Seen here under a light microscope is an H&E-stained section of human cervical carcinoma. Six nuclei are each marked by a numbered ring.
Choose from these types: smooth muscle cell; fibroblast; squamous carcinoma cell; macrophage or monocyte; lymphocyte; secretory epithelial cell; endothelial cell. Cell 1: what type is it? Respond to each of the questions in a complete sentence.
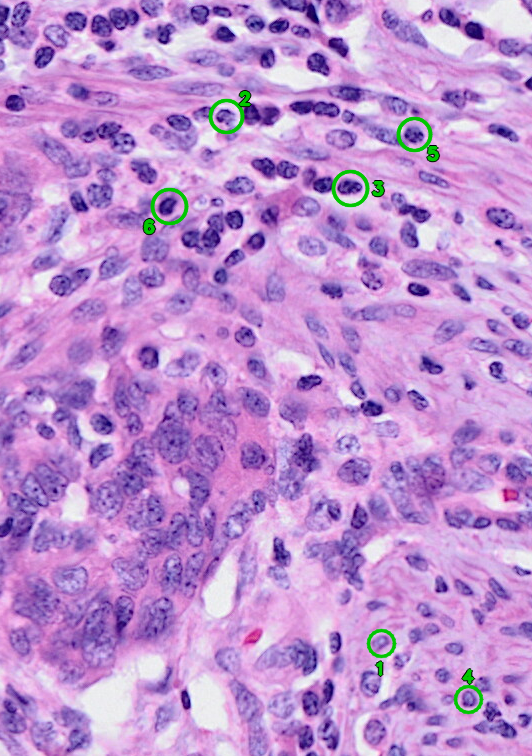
What the number 1 marks in this field is a smooth muscle cell.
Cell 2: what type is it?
The cell that is numbered 2 is a lymphocyte.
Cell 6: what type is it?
The cell bearing label 6 corresponds to a lymphocyte.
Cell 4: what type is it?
The marked nucleus 4 is that of a smooth muscle cell.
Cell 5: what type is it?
Here the cell numbered 5 is a lymphocyte.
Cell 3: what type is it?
Cell 3 is classified as a lymphocyte.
